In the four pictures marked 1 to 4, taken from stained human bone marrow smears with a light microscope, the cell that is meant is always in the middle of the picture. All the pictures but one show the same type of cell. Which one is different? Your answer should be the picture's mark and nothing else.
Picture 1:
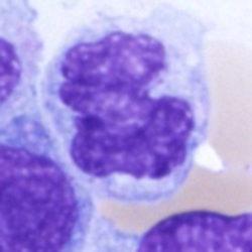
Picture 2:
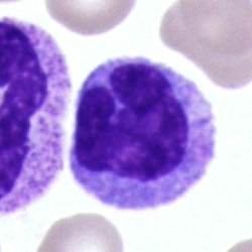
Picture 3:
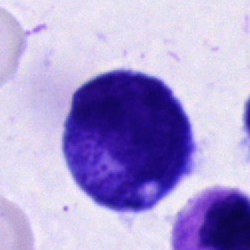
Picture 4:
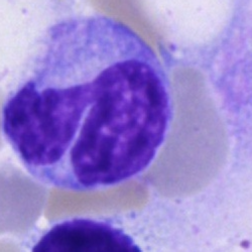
3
